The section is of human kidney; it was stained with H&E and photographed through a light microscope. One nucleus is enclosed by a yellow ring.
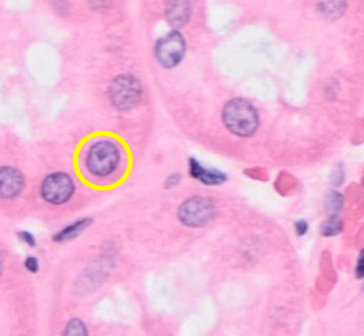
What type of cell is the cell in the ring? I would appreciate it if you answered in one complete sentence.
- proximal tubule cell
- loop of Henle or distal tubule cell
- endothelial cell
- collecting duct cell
As for its identity, the cell in the ring is a proximal tubule cell.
